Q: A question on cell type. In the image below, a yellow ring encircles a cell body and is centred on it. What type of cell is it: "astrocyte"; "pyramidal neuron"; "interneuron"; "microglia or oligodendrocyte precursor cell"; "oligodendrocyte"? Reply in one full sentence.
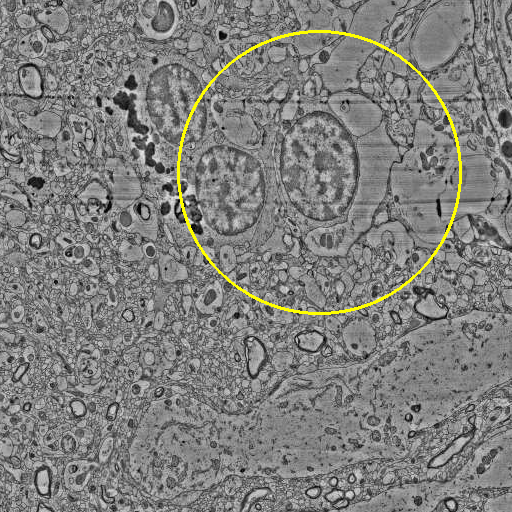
It is an oligodendrocyte whose cell body sits at the centre of the yellow ring in the image.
